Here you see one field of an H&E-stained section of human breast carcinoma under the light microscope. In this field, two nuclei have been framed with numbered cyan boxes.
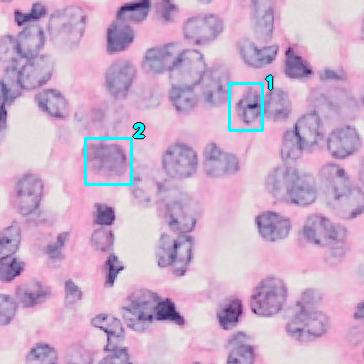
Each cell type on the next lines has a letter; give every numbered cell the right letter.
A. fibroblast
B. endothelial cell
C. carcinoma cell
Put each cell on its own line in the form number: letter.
1: B
2: C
